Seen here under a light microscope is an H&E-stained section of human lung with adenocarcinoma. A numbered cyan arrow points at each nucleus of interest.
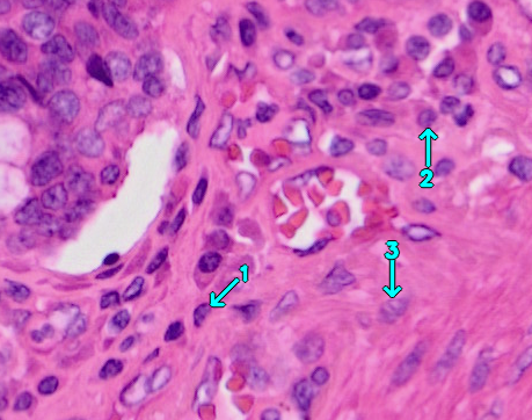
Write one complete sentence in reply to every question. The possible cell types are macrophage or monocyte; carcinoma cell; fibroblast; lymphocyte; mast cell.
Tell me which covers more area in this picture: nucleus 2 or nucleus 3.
It is nucleus 3, which covers about 2 times the area of nucleus 2.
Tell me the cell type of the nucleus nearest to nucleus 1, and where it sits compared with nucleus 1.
The nearest one is a lymphocyte, found below and to the left of nucleus 1.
